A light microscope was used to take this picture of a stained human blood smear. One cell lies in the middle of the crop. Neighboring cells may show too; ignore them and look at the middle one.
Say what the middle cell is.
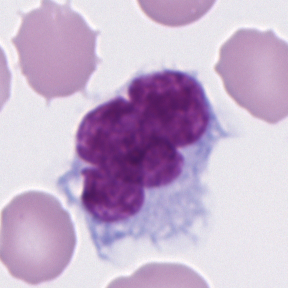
hairy cell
